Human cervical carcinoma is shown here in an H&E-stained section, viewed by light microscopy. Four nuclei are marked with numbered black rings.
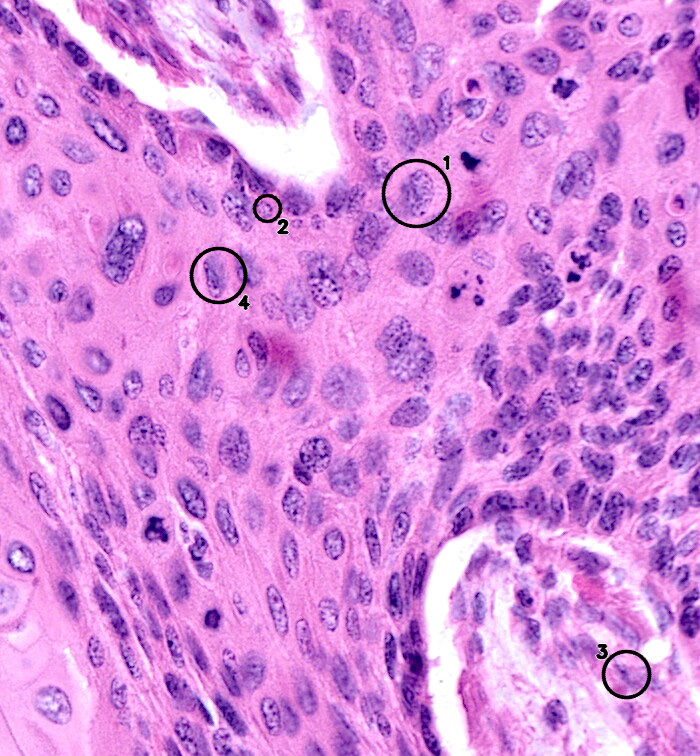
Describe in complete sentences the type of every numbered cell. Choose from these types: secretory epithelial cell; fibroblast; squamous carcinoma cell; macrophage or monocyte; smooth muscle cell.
Cells 1, 2 and 4 are squamous carcinoma cells. Cell 3 is a fibroblast.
